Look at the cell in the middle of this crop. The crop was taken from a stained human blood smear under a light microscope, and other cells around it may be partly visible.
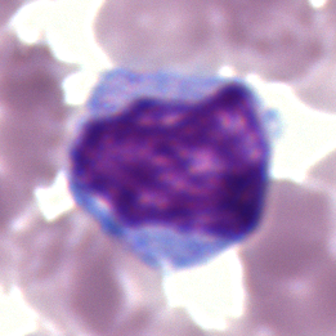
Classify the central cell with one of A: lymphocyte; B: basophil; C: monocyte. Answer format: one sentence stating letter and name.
The cell centred in the crop is a monocyte, and the correct option is thus C.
